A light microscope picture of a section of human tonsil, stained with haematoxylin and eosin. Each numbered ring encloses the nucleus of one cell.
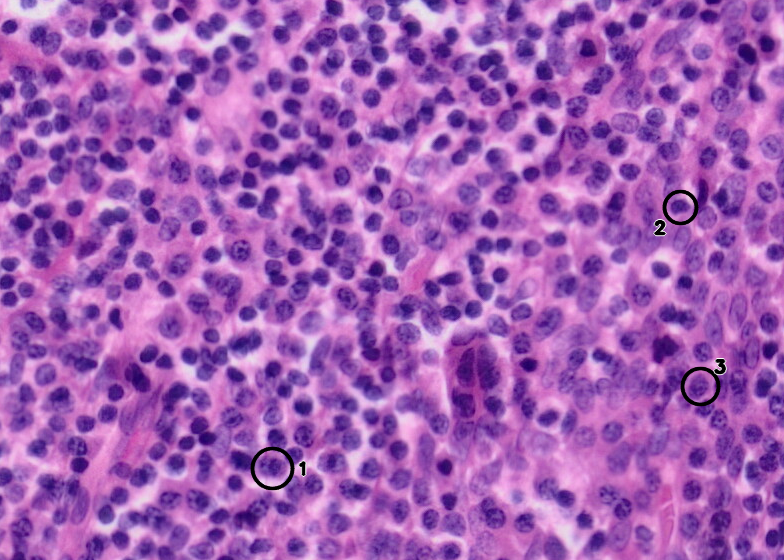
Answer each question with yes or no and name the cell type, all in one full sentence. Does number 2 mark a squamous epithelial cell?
Yes, the cell shown as number 2 is a squamous epithelial cell.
